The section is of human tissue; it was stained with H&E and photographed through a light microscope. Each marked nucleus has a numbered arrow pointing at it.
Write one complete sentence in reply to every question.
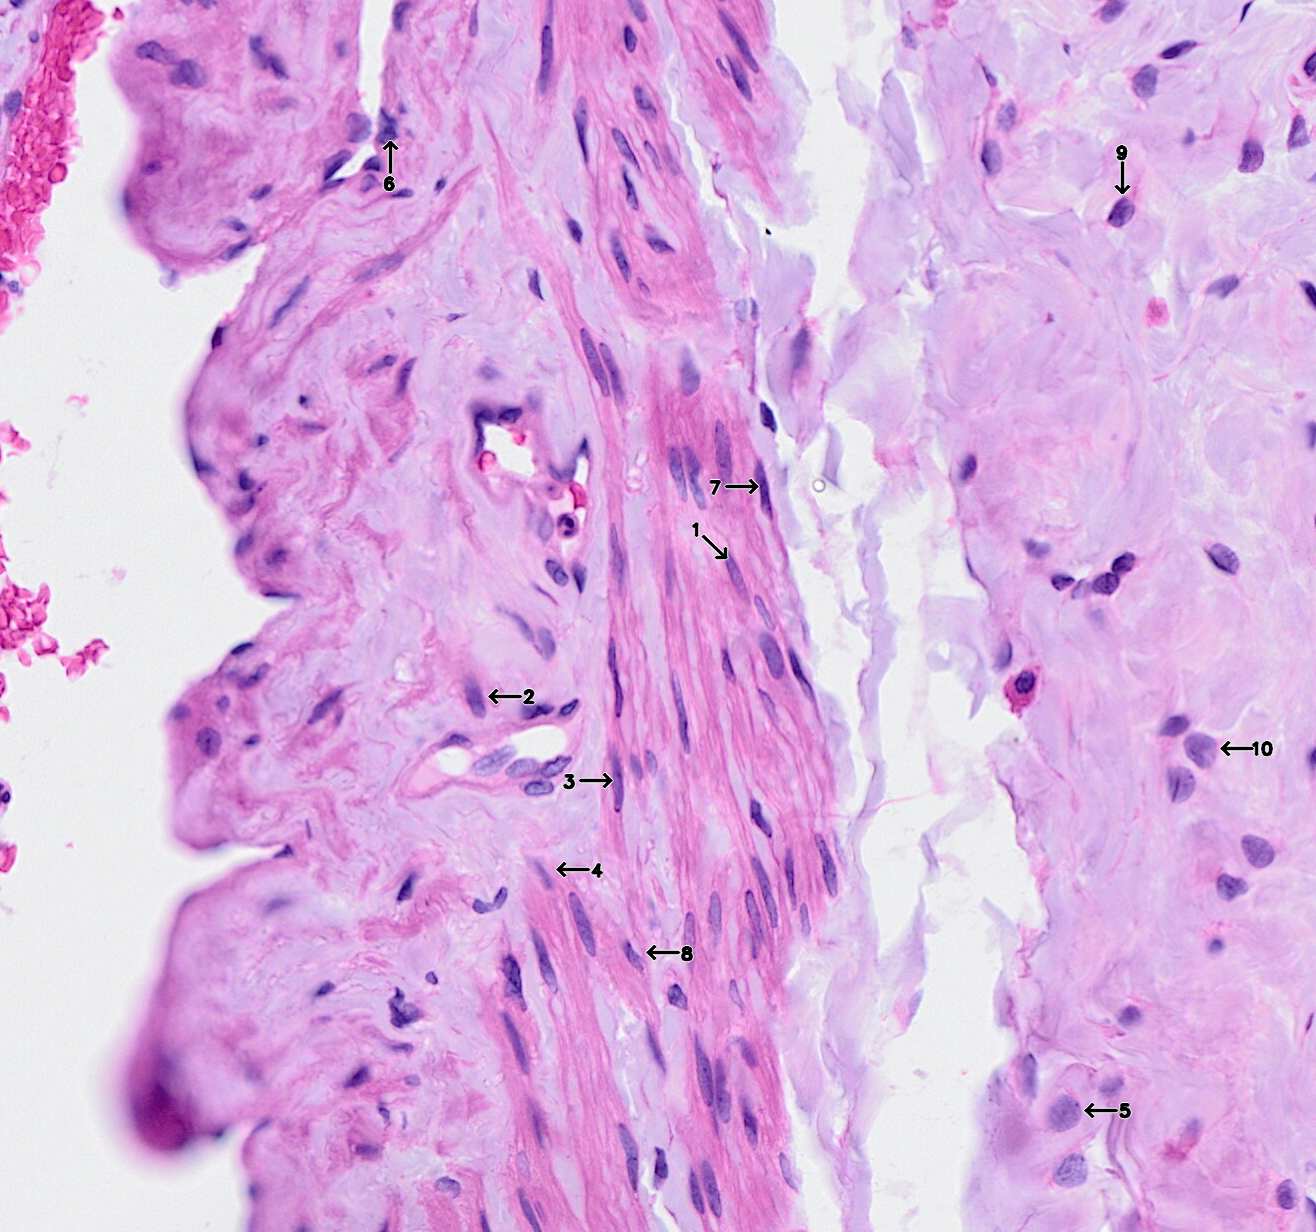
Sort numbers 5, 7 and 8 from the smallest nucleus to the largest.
From smallest to largest, the order is 8, 7, 5.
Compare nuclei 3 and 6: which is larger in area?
Nucleus 3 is the larger one, covering about 1.5 times the area of nucleus 6.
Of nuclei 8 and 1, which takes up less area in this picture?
The smaller nucleus is 8, and 1 covers roughly 1.5 times its area.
